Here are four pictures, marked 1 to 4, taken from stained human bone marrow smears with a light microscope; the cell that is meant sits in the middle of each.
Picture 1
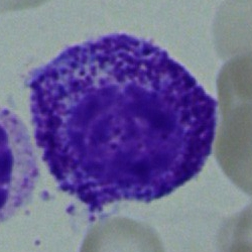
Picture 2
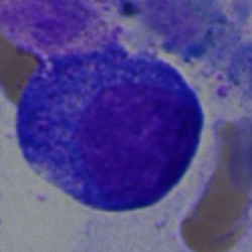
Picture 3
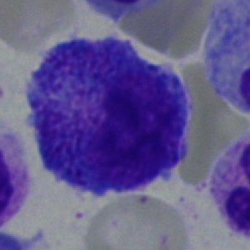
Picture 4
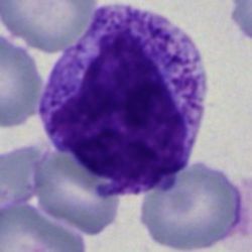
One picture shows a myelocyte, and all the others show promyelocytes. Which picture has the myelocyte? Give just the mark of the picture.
4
